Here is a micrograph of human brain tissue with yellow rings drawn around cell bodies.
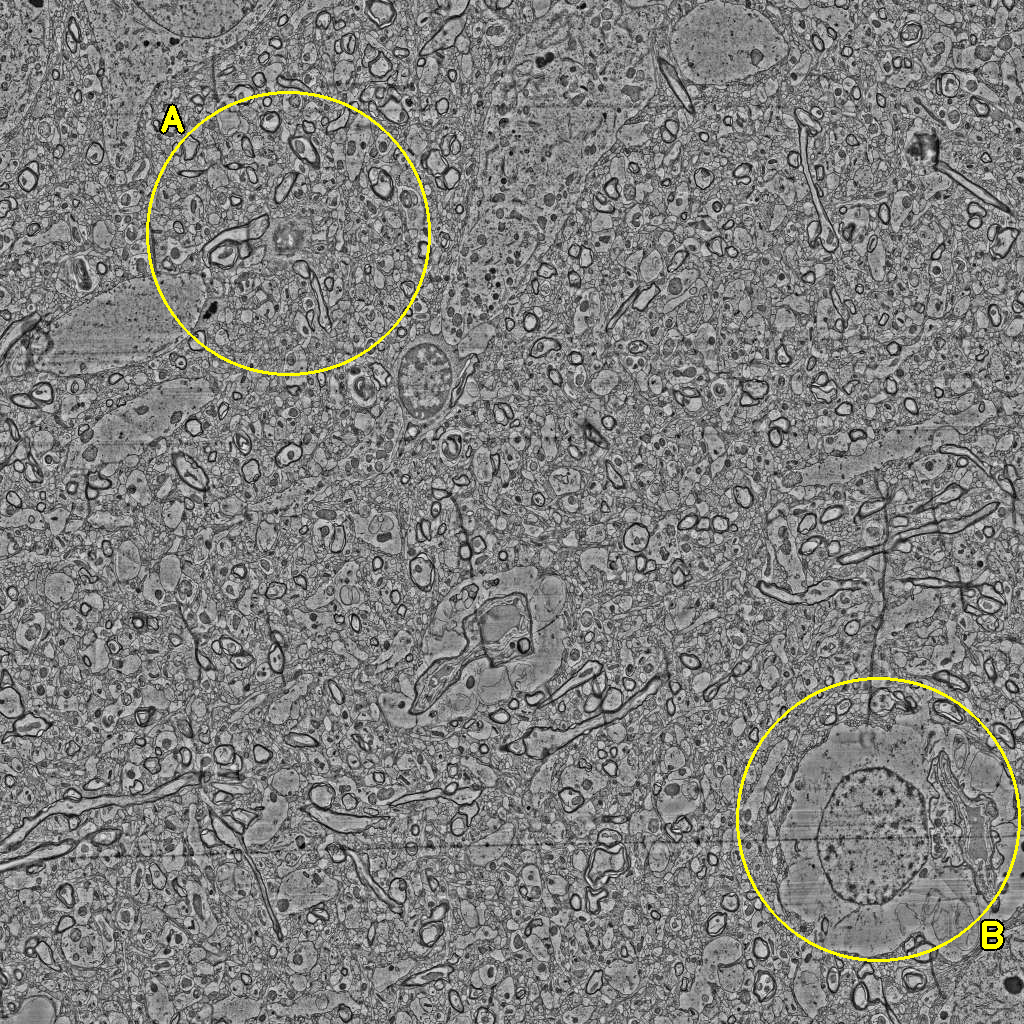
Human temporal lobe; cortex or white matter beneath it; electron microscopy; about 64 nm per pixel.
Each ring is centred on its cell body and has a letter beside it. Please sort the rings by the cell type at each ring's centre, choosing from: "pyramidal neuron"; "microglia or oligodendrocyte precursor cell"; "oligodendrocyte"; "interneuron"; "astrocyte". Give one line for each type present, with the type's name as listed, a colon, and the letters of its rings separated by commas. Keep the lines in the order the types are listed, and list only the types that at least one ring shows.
oligodendrocyte: A
astrocyte: B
